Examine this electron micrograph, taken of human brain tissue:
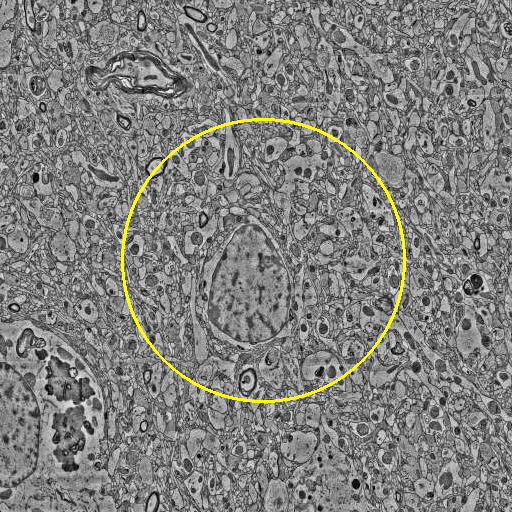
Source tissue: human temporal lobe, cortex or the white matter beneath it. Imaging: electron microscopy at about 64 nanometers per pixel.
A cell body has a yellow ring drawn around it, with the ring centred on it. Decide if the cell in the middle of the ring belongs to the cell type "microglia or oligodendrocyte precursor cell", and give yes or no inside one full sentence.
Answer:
Yes, the cell at the centre of the yellow ring in this picture is of that type.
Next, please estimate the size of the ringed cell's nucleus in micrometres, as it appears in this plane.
About 7 by 6 micrometres in this plane.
